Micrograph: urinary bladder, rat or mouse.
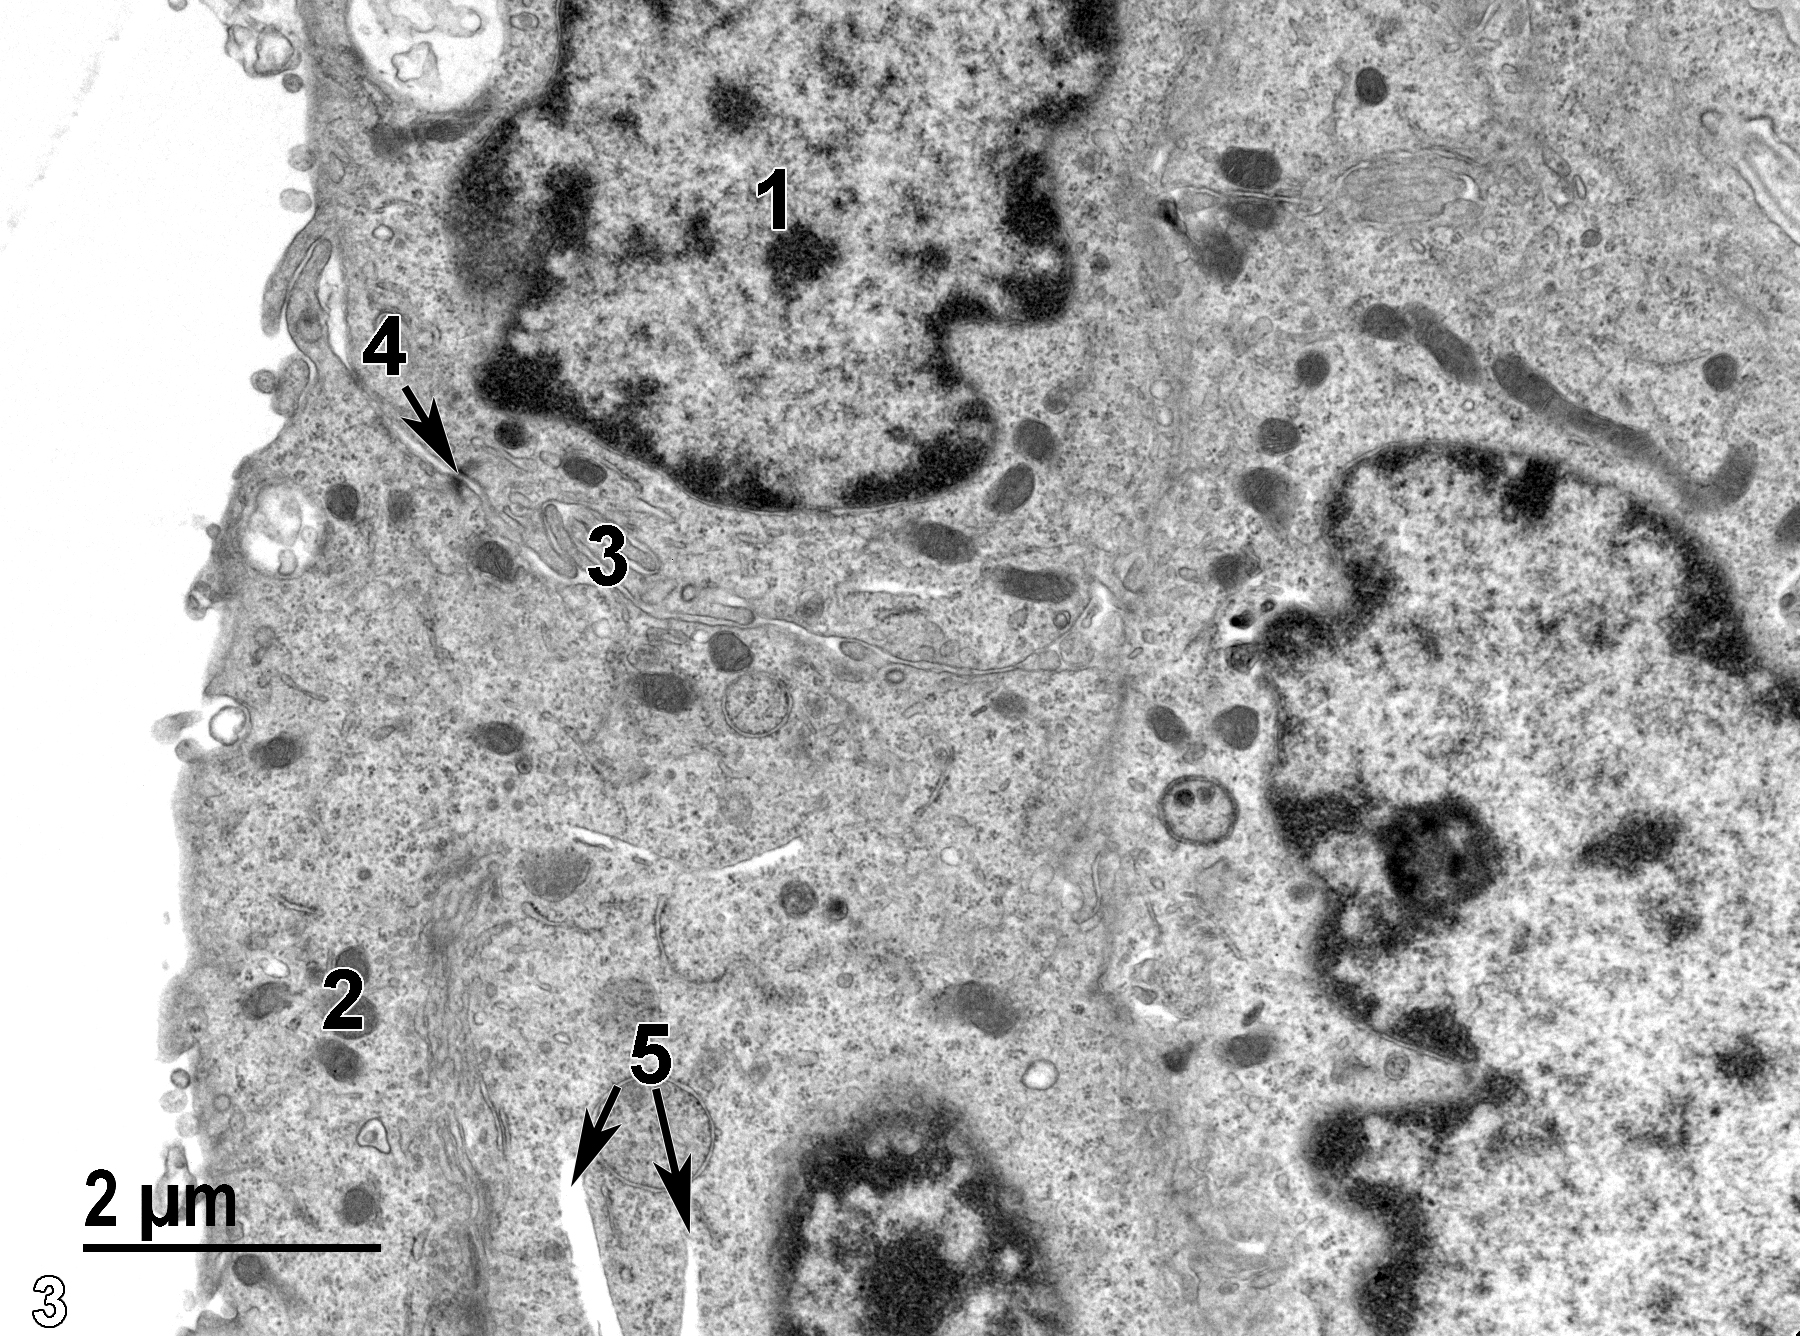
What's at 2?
2 marks the mitochondria.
